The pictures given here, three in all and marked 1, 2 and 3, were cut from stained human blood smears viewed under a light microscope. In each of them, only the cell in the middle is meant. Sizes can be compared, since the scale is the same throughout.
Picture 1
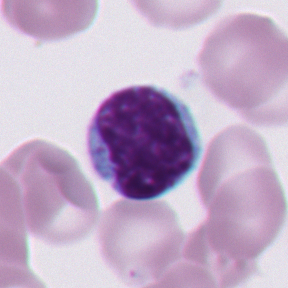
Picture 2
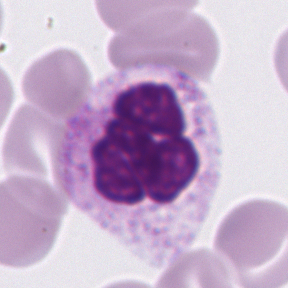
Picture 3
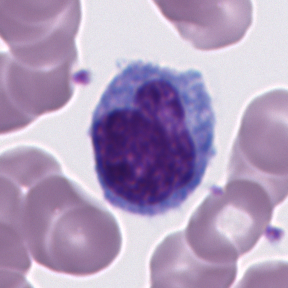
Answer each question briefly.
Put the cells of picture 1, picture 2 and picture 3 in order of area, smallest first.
1, 3, 2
